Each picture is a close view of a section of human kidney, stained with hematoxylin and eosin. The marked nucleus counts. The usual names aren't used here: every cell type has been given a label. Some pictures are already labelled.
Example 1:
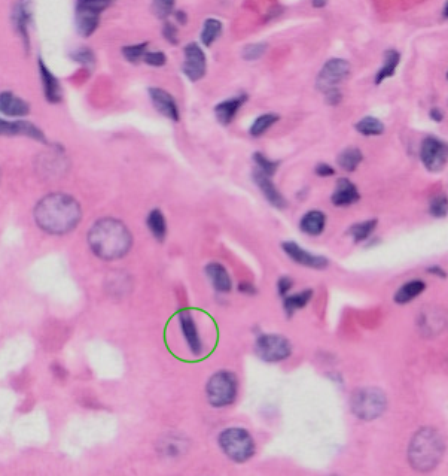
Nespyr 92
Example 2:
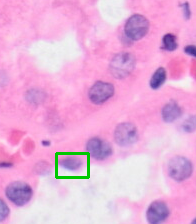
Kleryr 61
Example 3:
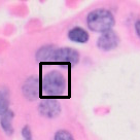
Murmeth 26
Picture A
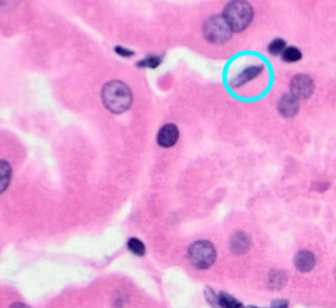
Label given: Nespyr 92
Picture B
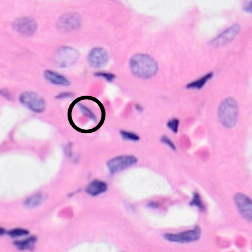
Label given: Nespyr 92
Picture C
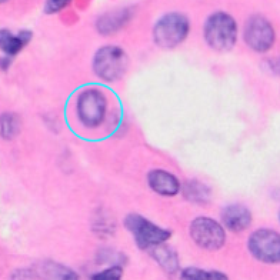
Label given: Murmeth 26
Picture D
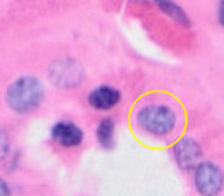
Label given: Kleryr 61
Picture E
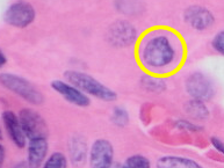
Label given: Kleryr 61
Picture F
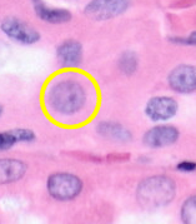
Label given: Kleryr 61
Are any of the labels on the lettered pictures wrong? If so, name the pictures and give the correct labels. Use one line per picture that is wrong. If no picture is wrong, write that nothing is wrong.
None of the labels needs changing.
